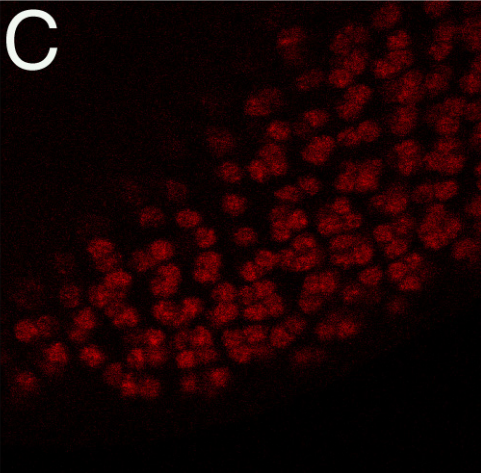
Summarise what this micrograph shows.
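The labelled nuclei lie in small compact clusters, each made of several closely packed round nuclei. The clusters are regularly spaced and arranged in curved rows, forming a lattice across one part of the field. The remaining area of the tissue is unlabelled and dark.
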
